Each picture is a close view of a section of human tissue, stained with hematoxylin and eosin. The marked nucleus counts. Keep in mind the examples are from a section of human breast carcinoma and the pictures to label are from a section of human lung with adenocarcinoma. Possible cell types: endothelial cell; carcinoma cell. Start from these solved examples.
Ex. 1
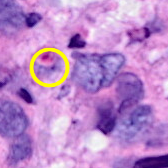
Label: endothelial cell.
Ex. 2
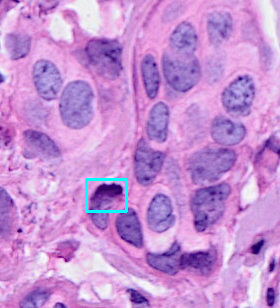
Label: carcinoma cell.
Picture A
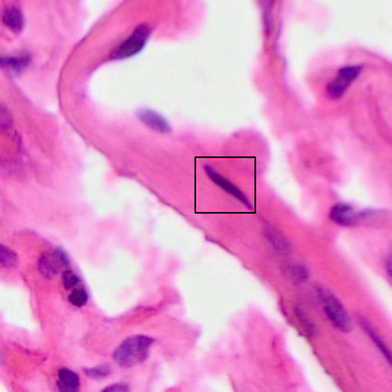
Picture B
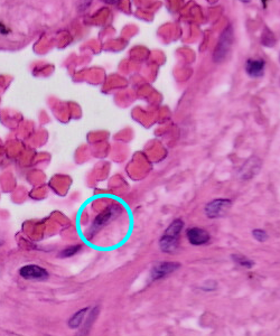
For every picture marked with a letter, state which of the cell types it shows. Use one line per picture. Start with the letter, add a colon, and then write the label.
A: endothelial cell.
B: endothelial cell.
